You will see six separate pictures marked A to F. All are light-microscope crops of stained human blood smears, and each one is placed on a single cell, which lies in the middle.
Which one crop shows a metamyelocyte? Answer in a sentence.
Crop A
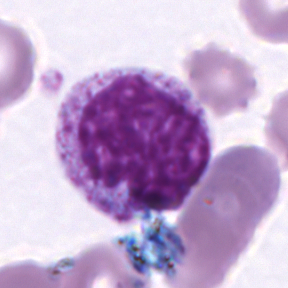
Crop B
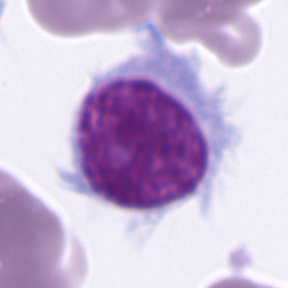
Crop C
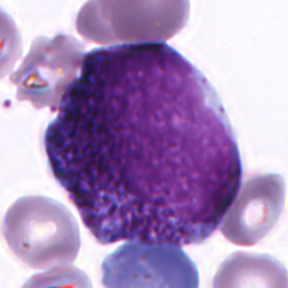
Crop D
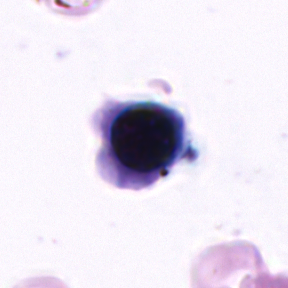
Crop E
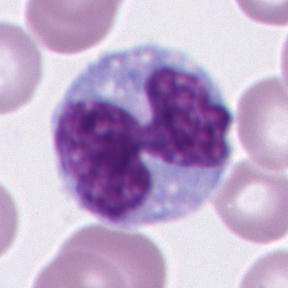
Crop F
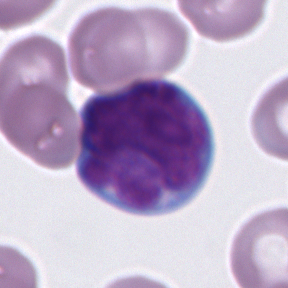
It is in crop A that a metamyelocyte is shown.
